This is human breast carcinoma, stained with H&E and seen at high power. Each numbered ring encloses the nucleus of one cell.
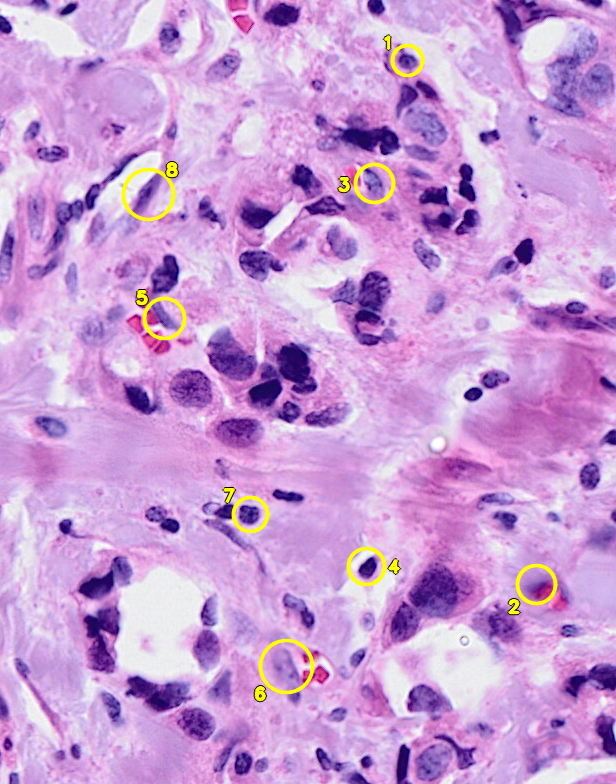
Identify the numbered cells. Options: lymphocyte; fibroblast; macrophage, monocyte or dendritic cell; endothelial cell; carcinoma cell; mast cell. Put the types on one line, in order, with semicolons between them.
lymphocyte; endothelial cell; endothelial cell; lymphocyte; endothelial cell; endothelial cell; lymphocyte; fibroblast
